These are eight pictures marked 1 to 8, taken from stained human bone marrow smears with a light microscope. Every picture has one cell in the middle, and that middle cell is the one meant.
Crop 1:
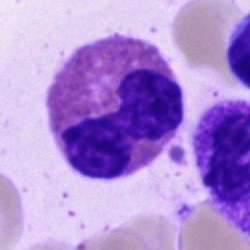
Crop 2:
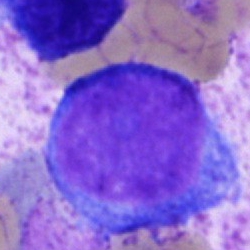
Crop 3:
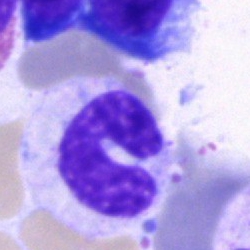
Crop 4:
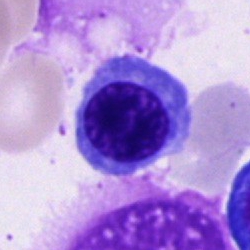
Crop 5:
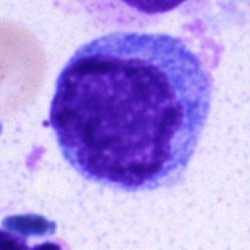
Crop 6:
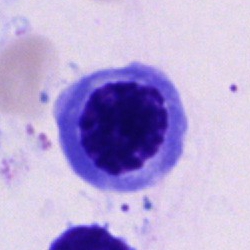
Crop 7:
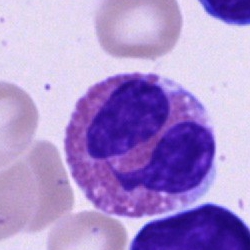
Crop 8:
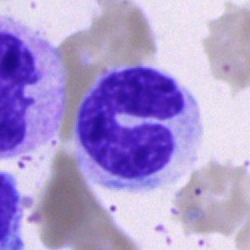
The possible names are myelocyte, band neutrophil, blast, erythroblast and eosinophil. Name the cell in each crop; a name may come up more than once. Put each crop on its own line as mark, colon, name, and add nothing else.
1: eosinophil
2: blast
3: band neutrophil
4: erythroblast
5: blast
6: erythroblast
7: eosinophil
8: band neutrophil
